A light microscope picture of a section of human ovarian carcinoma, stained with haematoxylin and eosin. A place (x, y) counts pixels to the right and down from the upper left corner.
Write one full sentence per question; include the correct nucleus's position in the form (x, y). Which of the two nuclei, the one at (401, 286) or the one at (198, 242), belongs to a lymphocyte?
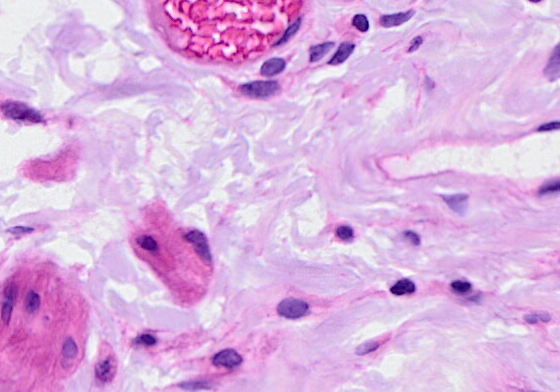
The nucleus at (401, 286) is the member of the pair belonging to a lymphocyte.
